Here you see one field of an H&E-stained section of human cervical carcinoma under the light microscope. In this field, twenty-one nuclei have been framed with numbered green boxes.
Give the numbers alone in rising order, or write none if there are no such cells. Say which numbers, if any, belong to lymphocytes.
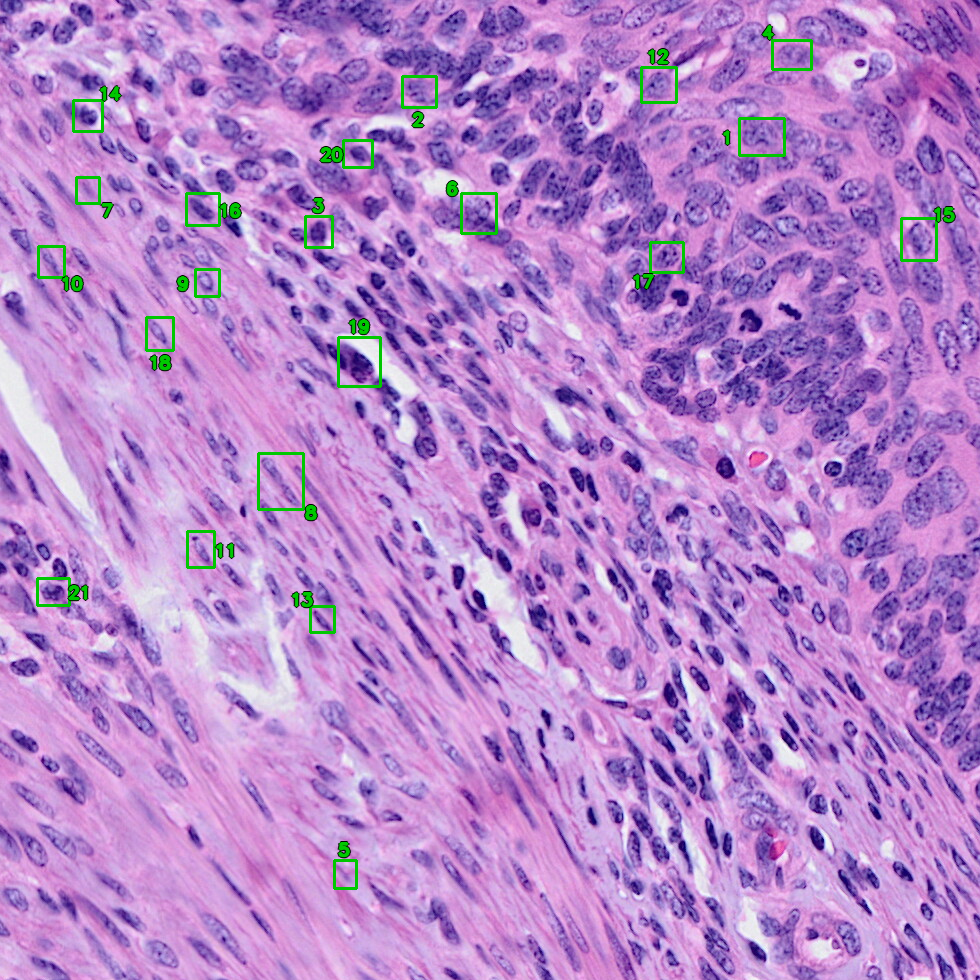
3, 14, 16, 19, 20, 21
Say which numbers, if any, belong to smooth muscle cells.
5, 7, 8, 9, 10, 11, 13, 18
